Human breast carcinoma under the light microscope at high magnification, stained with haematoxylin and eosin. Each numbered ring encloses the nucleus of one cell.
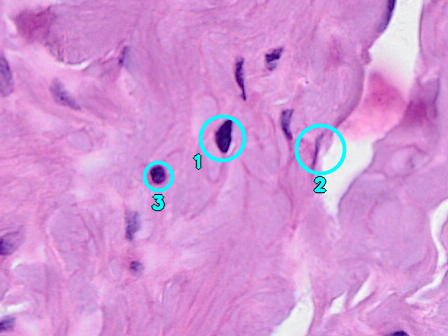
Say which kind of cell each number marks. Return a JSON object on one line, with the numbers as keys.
{"1": "fibroblast", "2": "fibroblast", "3": "mast cell"}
